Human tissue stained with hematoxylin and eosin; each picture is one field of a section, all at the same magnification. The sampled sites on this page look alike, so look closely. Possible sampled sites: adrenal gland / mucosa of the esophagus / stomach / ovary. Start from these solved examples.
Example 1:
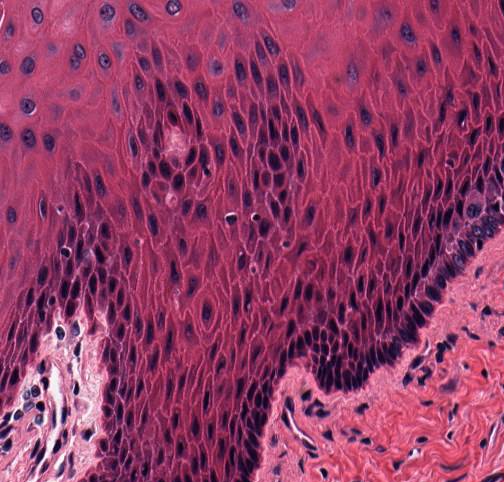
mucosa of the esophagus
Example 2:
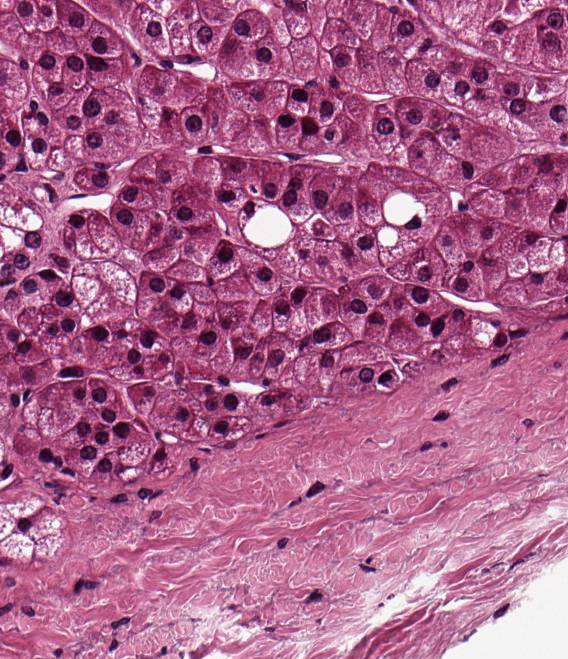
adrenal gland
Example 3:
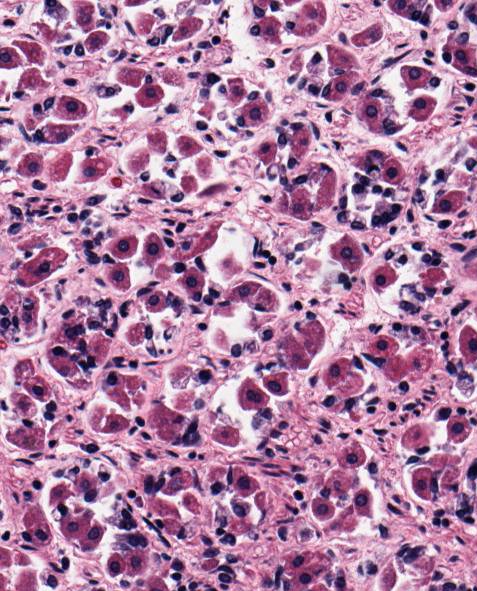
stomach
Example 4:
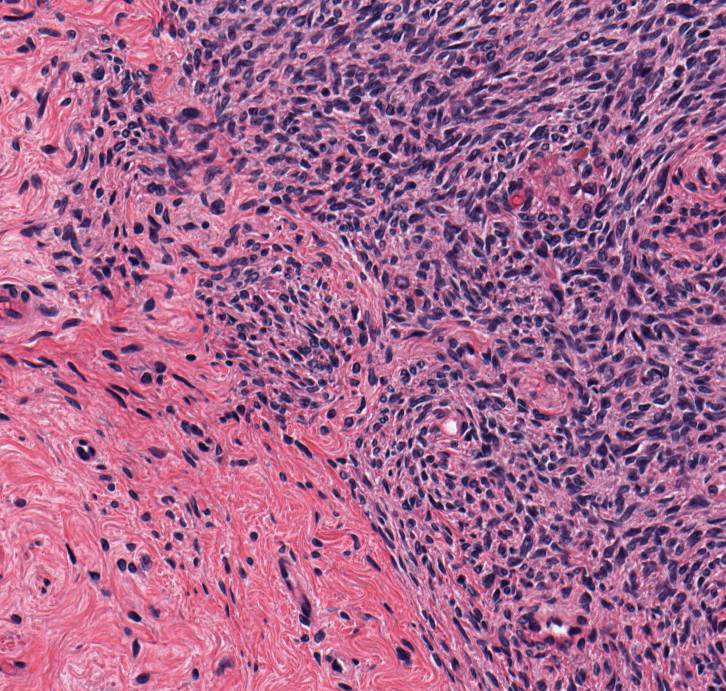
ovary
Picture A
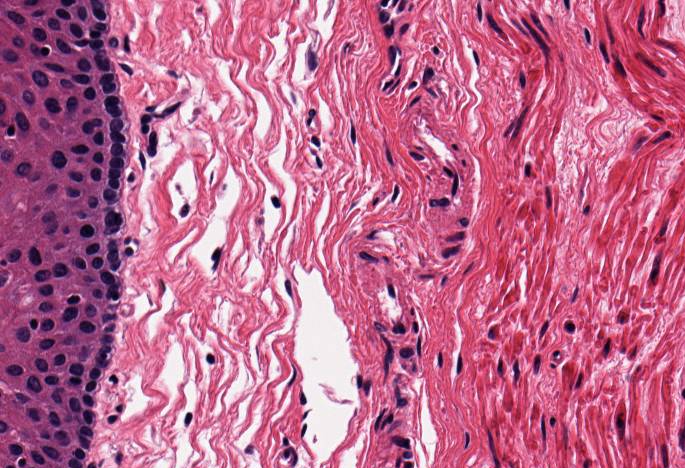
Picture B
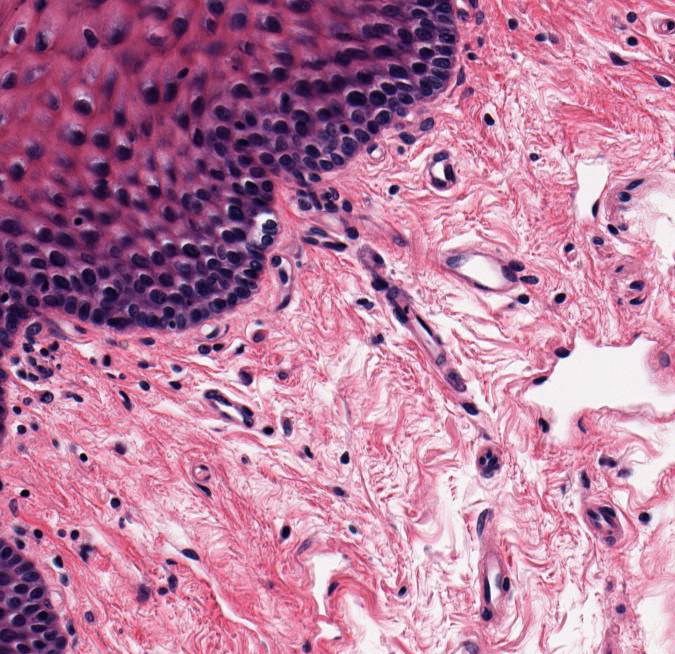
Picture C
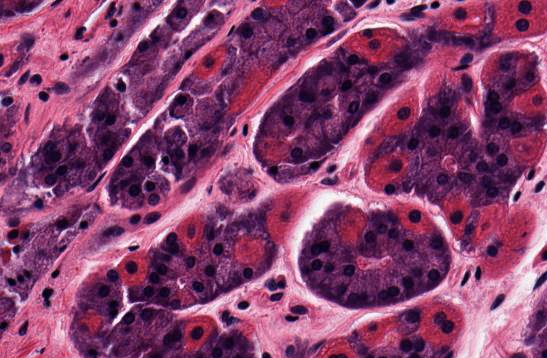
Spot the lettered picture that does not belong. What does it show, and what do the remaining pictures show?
Different: C, stomach. Others: mucosa of the esophagus.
